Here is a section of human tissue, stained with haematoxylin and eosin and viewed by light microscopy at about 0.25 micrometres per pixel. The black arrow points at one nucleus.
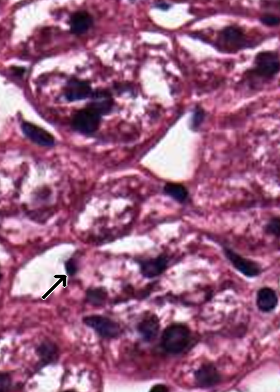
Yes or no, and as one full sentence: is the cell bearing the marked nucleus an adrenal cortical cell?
No, rather than an adrenal cortical cell, it is a supporting cell that contains the marked nucleus.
